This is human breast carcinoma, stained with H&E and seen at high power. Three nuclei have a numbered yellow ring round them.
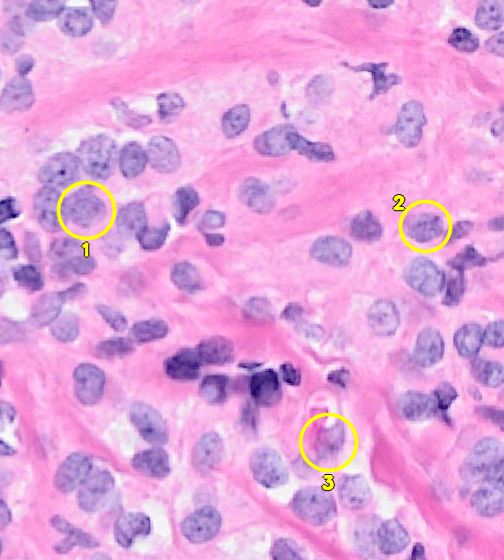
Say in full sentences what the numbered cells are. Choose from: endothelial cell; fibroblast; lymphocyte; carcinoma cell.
Cells 1 and 2 are carcinoma cells. Cell 3 is an endothelial cell.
